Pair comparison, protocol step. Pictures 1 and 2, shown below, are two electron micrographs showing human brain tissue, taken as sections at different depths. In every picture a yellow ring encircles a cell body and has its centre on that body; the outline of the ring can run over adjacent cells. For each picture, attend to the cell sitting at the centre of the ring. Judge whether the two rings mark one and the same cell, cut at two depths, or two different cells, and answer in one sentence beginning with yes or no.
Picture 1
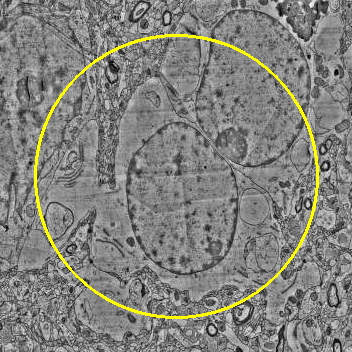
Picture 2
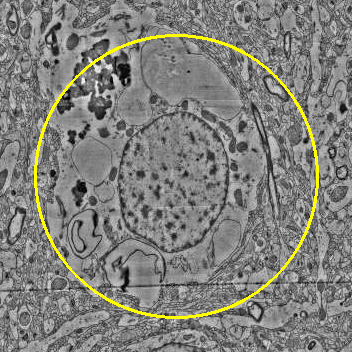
No, these are two different cells, each marked with a ring.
